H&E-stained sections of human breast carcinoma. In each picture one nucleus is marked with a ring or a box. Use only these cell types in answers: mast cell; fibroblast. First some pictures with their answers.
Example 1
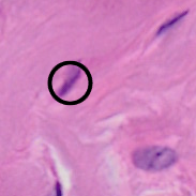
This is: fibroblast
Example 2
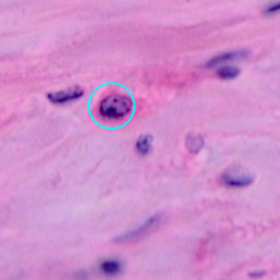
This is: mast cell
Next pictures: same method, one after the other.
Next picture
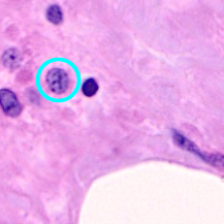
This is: mast cell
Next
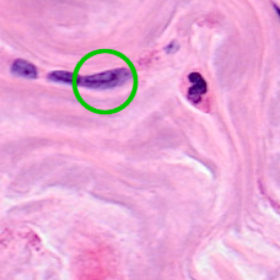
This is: fibroblast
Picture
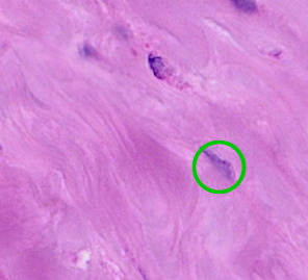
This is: fibroblast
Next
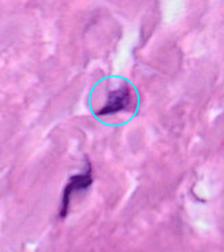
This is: fibroblast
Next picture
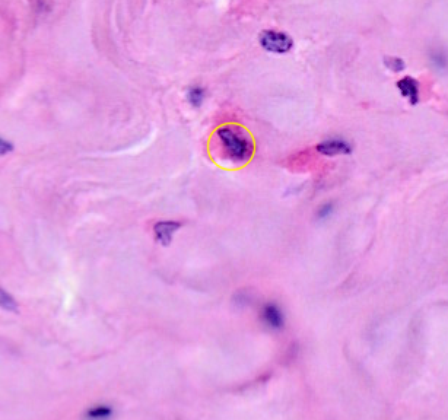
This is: mast cell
